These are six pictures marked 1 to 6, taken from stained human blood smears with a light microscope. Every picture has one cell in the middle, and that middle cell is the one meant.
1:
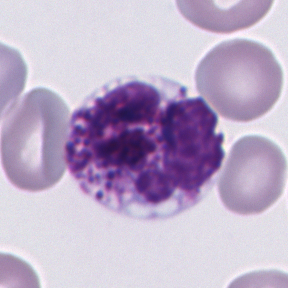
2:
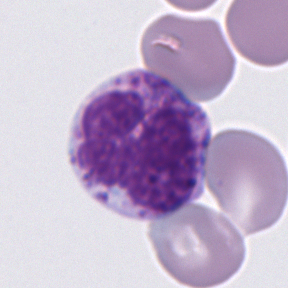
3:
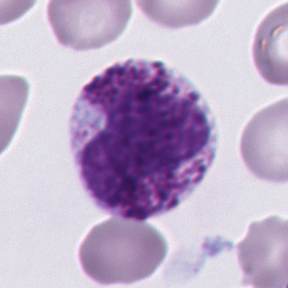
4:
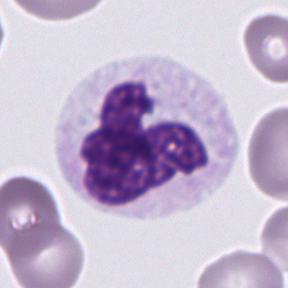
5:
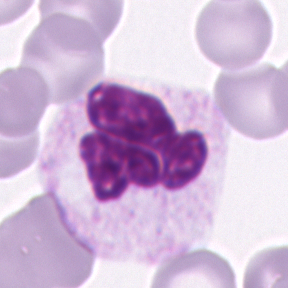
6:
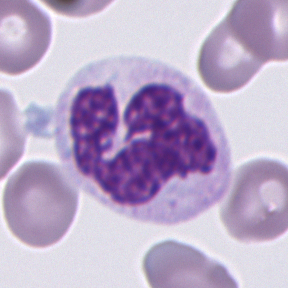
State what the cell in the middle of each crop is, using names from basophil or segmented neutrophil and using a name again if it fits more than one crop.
1: basophil
2: basophil
3: basophil
4: segmented neutrophil
5: segmented neutrophil
6: segmented neutrophil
